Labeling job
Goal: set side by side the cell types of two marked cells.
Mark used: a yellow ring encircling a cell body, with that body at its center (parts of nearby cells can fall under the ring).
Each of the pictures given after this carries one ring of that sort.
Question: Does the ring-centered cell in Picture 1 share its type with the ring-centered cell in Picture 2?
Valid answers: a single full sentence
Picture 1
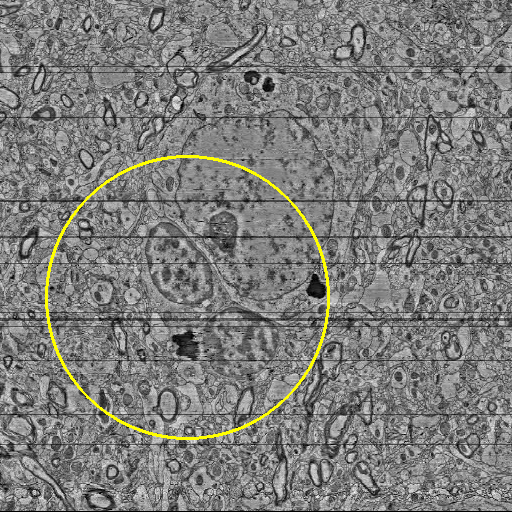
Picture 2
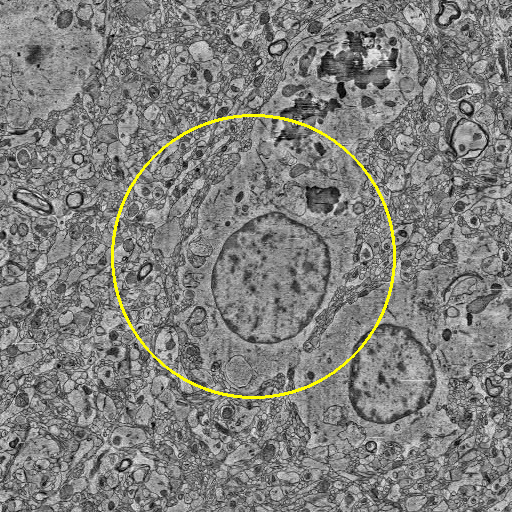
No, in Pictures 1 and 2 the cells at the ring centers have separate types.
